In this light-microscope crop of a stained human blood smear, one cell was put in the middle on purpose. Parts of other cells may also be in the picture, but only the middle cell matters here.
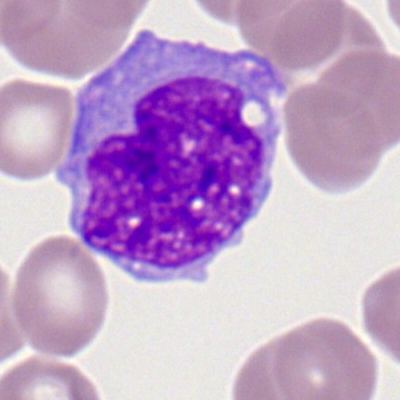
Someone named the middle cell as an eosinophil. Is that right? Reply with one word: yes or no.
no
